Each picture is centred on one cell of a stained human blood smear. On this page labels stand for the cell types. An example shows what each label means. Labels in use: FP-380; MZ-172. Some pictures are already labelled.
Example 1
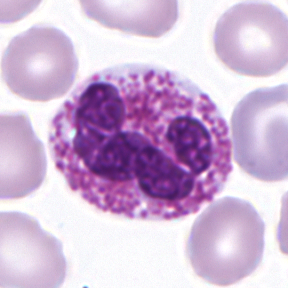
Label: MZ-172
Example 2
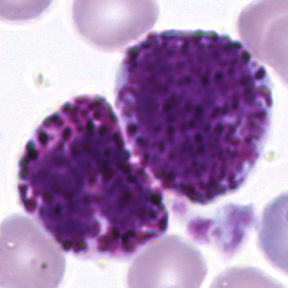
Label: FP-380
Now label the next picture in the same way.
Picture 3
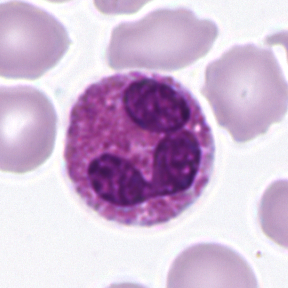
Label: MZ-172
